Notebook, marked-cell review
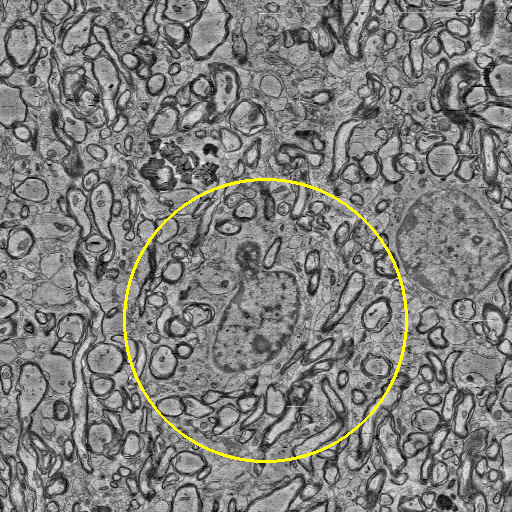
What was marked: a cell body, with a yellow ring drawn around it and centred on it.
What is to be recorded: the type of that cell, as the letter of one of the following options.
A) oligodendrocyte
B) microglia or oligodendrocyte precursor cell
B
